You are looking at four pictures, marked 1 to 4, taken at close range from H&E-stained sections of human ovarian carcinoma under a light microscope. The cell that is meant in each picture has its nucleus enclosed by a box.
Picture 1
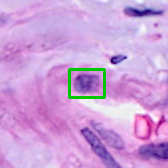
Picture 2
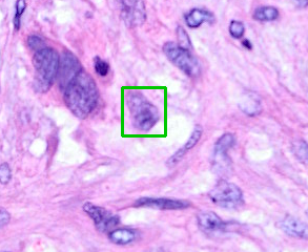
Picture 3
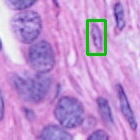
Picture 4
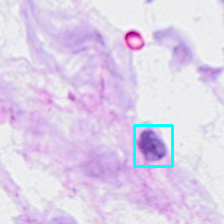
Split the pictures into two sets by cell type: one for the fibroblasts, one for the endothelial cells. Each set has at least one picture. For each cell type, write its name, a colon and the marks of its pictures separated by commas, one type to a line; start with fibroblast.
fibroblast: 2, 3, 4
endothelial cell: 1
